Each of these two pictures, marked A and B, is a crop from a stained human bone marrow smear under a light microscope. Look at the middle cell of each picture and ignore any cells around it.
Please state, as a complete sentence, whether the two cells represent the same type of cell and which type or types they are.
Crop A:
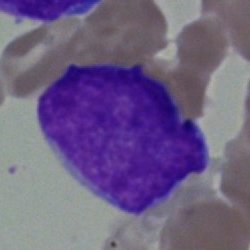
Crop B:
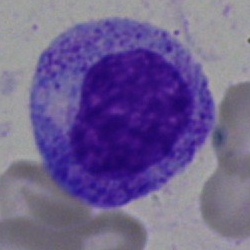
No, a blast is centred in crop A, and a myelocyte is centred in crop B.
